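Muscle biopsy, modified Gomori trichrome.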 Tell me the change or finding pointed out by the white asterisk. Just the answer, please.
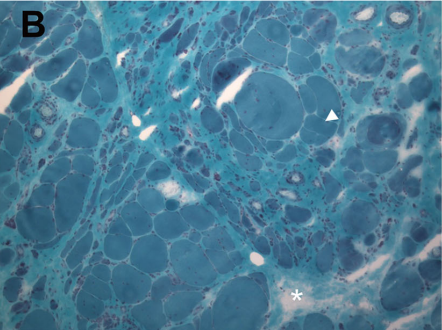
Fibro-adipose replacement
